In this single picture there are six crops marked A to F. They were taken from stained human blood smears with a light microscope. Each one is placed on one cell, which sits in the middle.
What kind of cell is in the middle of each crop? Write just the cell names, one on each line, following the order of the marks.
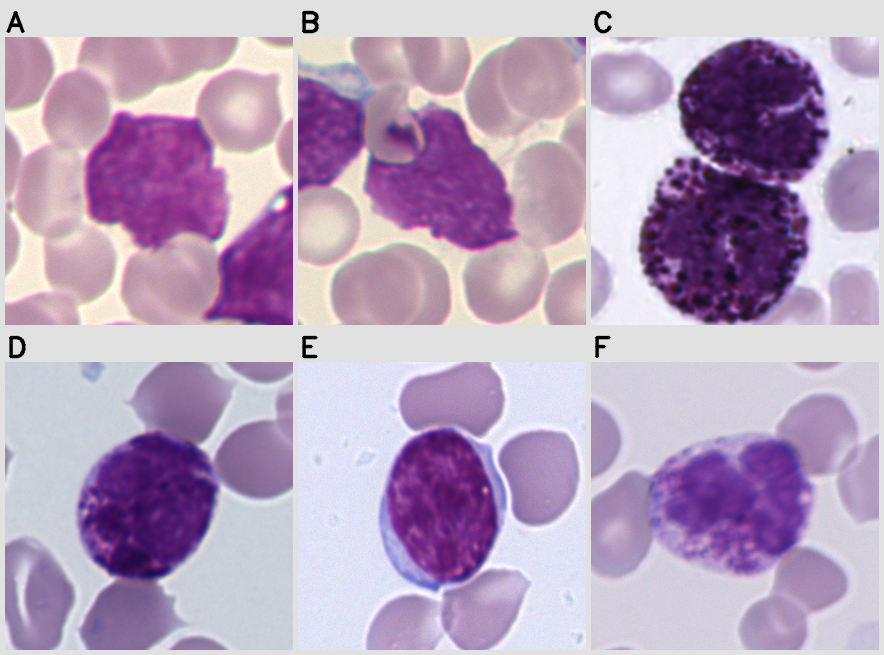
smudge cell
smudge cell
basophil
basophil
myeloblast
basophil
